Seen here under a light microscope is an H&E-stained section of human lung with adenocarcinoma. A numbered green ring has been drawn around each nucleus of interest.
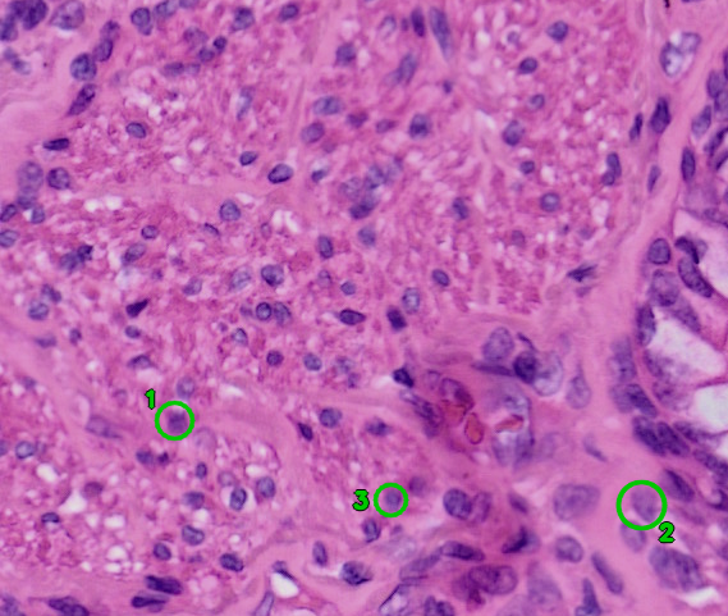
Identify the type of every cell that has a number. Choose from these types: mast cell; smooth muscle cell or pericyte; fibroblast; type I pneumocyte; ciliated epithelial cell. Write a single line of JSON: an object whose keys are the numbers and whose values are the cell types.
{"1": "smooth muscle cell or pericyte", "2": "ciliated epithelial cell", "3": "smooth muscle cell or pericyte"}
